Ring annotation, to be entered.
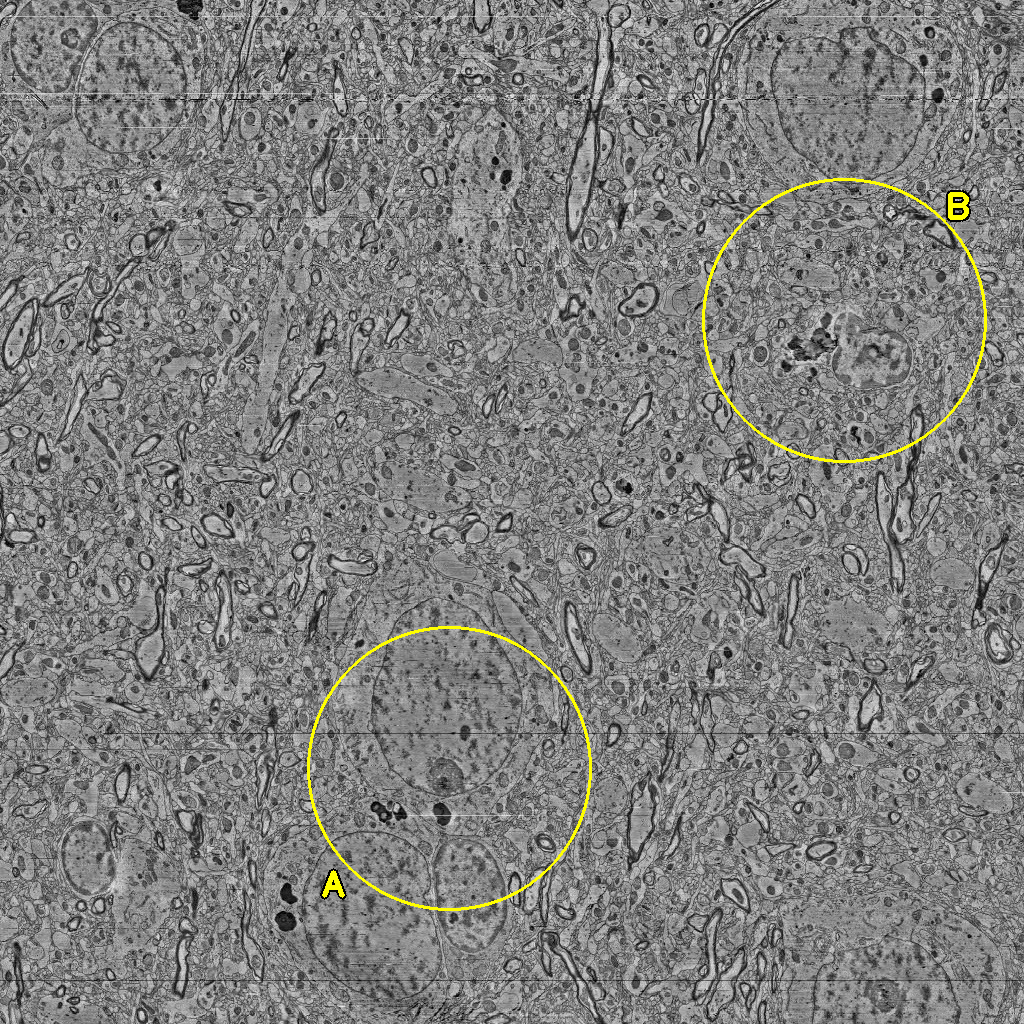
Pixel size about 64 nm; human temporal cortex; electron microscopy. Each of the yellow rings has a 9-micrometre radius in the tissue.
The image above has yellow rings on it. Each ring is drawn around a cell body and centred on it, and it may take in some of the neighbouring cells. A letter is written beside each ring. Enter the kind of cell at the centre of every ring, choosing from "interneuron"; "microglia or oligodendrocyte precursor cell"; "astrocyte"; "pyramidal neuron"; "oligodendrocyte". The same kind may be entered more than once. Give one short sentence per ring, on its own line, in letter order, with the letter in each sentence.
The ring marked A is centred on a pyramidal neuron.
The ring marked B is centred on a microglial cell or oligodendrocyte precursor cell.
